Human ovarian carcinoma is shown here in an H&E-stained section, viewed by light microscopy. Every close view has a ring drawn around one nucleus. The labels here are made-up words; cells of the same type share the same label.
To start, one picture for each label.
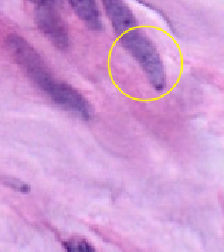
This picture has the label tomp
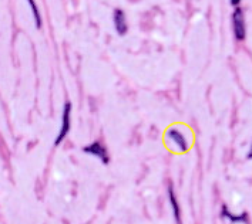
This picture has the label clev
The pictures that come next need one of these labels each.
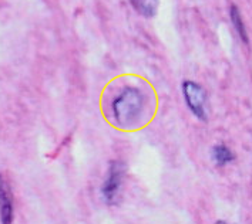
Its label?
clev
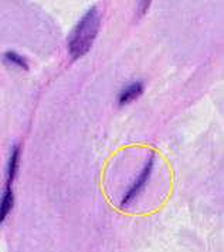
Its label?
clev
